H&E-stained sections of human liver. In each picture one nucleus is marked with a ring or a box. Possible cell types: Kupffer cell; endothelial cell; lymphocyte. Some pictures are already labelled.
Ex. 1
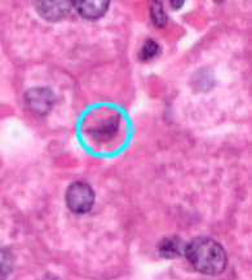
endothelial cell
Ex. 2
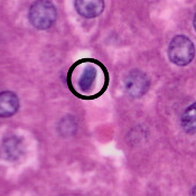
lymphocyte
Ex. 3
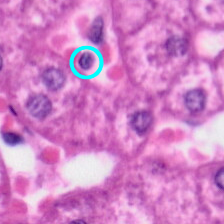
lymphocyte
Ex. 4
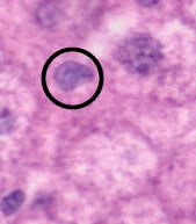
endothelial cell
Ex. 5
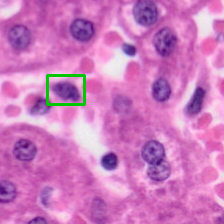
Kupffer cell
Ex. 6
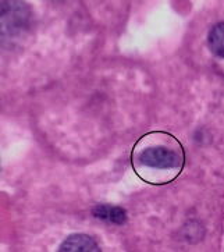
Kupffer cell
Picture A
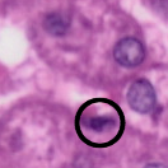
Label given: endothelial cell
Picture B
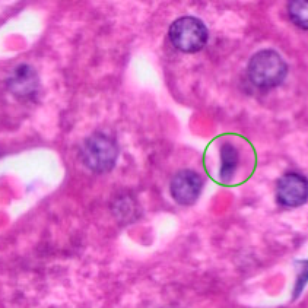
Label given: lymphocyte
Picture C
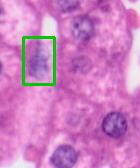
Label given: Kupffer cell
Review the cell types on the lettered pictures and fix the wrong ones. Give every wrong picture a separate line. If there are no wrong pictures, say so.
B: not lymphocyte but Kupffer cell
C: not Kupffer cell but endothelial cell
